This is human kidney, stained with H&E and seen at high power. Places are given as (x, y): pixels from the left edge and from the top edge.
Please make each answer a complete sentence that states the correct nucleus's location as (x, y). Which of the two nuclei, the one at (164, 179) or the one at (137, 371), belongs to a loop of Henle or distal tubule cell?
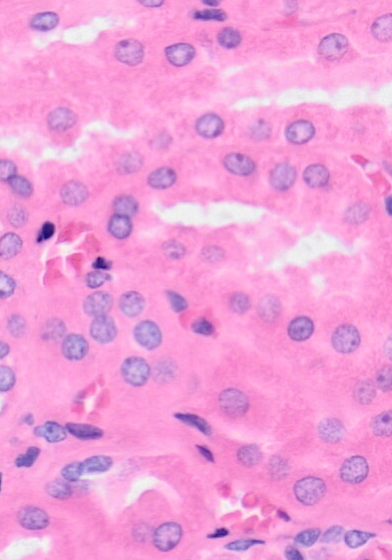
The nucleus at position (137, 371) belongs to a loop of Henle or distal tubule cell.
